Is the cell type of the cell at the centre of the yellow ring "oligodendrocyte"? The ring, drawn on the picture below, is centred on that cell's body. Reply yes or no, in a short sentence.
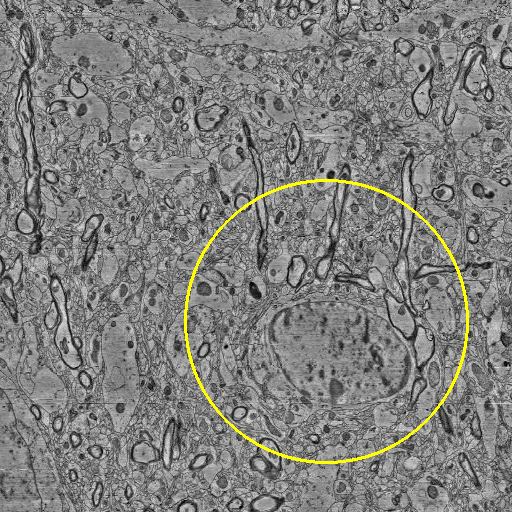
No, its cell type is another.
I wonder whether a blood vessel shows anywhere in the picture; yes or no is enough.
No, the picture includes no blood vessel.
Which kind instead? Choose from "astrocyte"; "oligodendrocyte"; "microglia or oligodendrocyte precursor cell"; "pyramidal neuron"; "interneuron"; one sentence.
As it turns out, the cell at the ring centre is a microglial cell or oligodendrocyte precursor cell.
